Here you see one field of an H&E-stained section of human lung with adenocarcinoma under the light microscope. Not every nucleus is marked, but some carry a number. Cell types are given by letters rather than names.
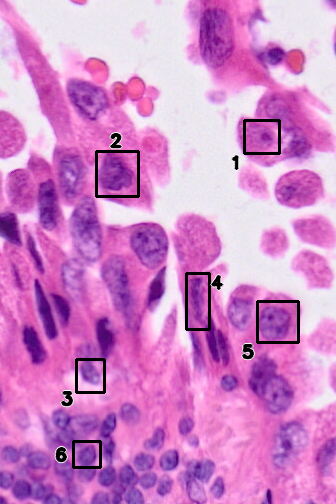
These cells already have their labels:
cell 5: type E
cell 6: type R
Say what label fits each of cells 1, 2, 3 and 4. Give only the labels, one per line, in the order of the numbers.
type E
type E
type R
type E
